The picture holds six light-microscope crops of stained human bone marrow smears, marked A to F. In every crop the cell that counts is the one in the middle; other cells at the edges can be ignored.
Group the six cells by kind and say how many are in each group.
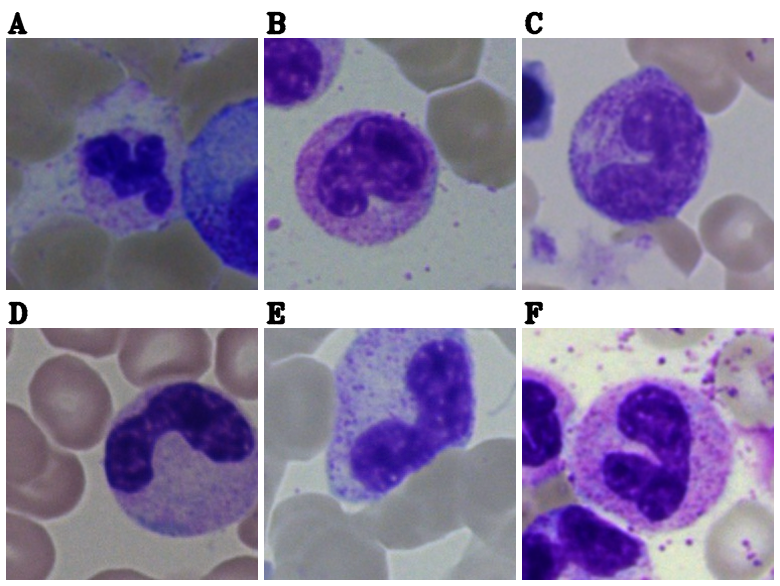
band neutrophil: 4
segmented neutrophil: 2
